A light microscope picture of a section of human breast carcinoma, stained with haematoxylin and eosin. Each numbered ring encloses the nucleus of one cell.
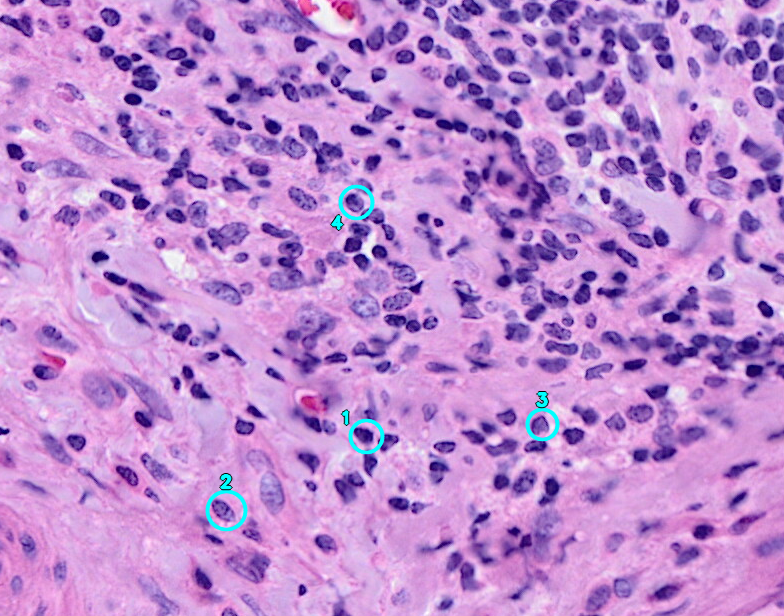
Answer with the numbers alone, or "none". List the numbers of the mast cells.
2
